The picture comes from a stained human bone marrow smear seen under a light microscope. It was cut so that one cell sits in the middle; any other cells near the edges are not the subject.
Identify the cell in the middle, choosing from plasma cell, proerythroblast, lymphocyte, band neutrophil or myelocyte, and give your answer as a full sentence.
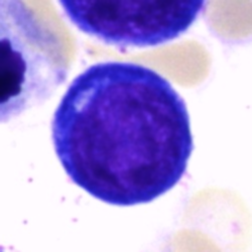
The cell under consideration, at the middle of the crop, is a proerythroblast.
